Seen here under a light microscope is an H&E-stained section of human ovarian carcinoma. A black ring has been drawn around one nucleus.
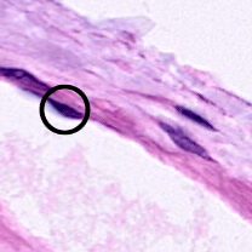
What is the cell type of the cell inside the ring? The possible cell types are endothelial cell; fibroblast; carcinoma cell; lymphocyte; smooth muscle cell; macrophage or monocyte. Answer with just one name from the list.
endothelial cell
